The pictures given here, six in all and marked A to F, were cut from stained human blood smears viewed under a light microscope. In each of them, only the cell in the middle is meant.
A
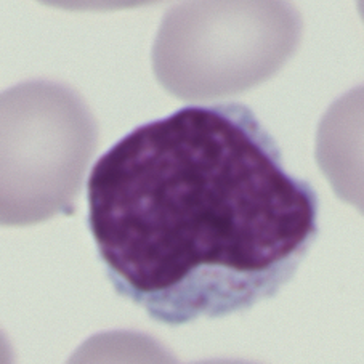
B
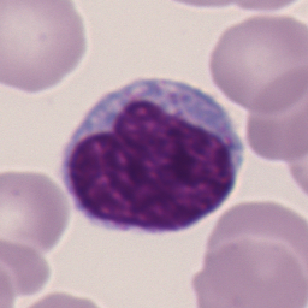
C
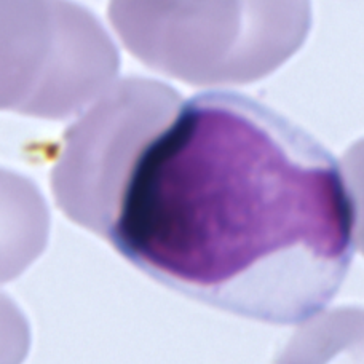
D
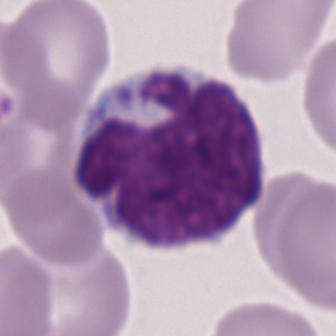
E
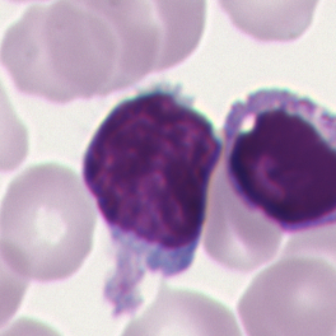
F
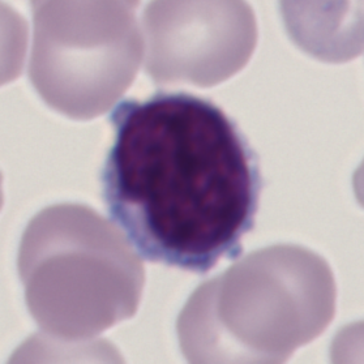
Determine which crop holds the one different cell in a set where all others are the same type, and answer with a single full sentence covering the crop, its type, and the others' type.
Apart from crop C, a large granular lymphocyte, the crops all show typical lymphocytes.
